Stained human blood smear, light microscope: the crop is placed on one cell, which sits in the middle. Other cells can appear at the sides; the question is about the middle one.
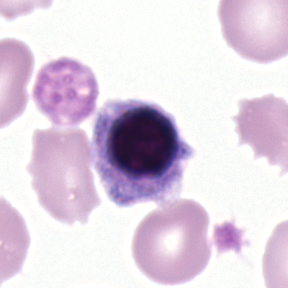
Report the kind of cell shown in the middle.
erythroblast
